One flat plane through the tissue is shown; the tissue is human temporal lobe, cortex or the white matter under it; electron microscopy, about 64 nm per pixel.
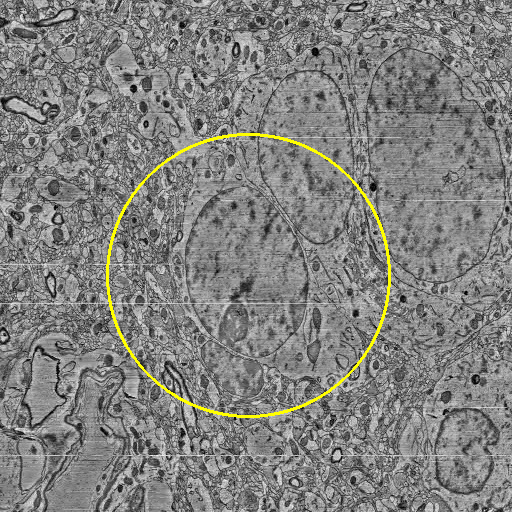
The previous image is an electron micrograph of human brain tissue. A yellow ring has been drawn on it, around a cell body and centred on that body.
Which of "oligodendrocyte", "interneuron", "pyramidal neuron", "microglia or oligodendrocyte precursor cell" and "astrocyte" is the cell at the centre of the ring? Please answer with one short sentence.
The cell body at the centre of the ring belongs to an astrocyte.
